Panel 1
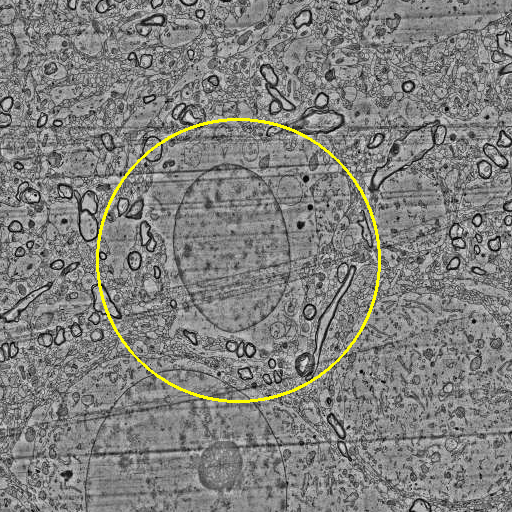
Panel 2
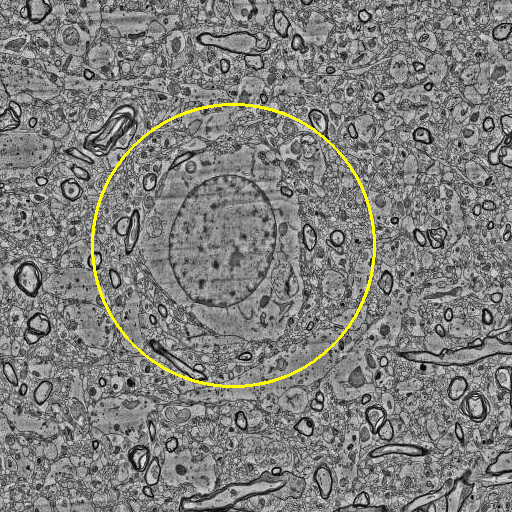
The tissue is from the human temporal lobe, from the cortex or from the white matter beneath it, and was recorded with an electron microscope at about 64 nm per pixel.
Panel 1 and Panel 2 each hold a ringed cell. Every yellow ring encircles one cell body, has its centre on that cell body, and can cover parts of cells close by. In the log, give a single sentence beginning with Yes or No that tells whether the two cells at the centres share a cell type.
Yes, in Panel 1 and Panel 2 the centred cells share a cell type.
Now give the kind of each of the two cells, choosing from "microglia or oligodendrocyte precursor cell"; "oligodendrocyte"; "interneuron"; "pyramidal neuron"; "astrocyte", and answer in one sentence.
Each of the two rings is centred on an astrocyte.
